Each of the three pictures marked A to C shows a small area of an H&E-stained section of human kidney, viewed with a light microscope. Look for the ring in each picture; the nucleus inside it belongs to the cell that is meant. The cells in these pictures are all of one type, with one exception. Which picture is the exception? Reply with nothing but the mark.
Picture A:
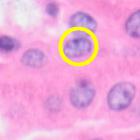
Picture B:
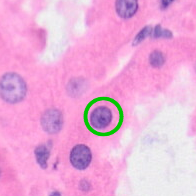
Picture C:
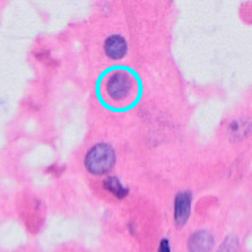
A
